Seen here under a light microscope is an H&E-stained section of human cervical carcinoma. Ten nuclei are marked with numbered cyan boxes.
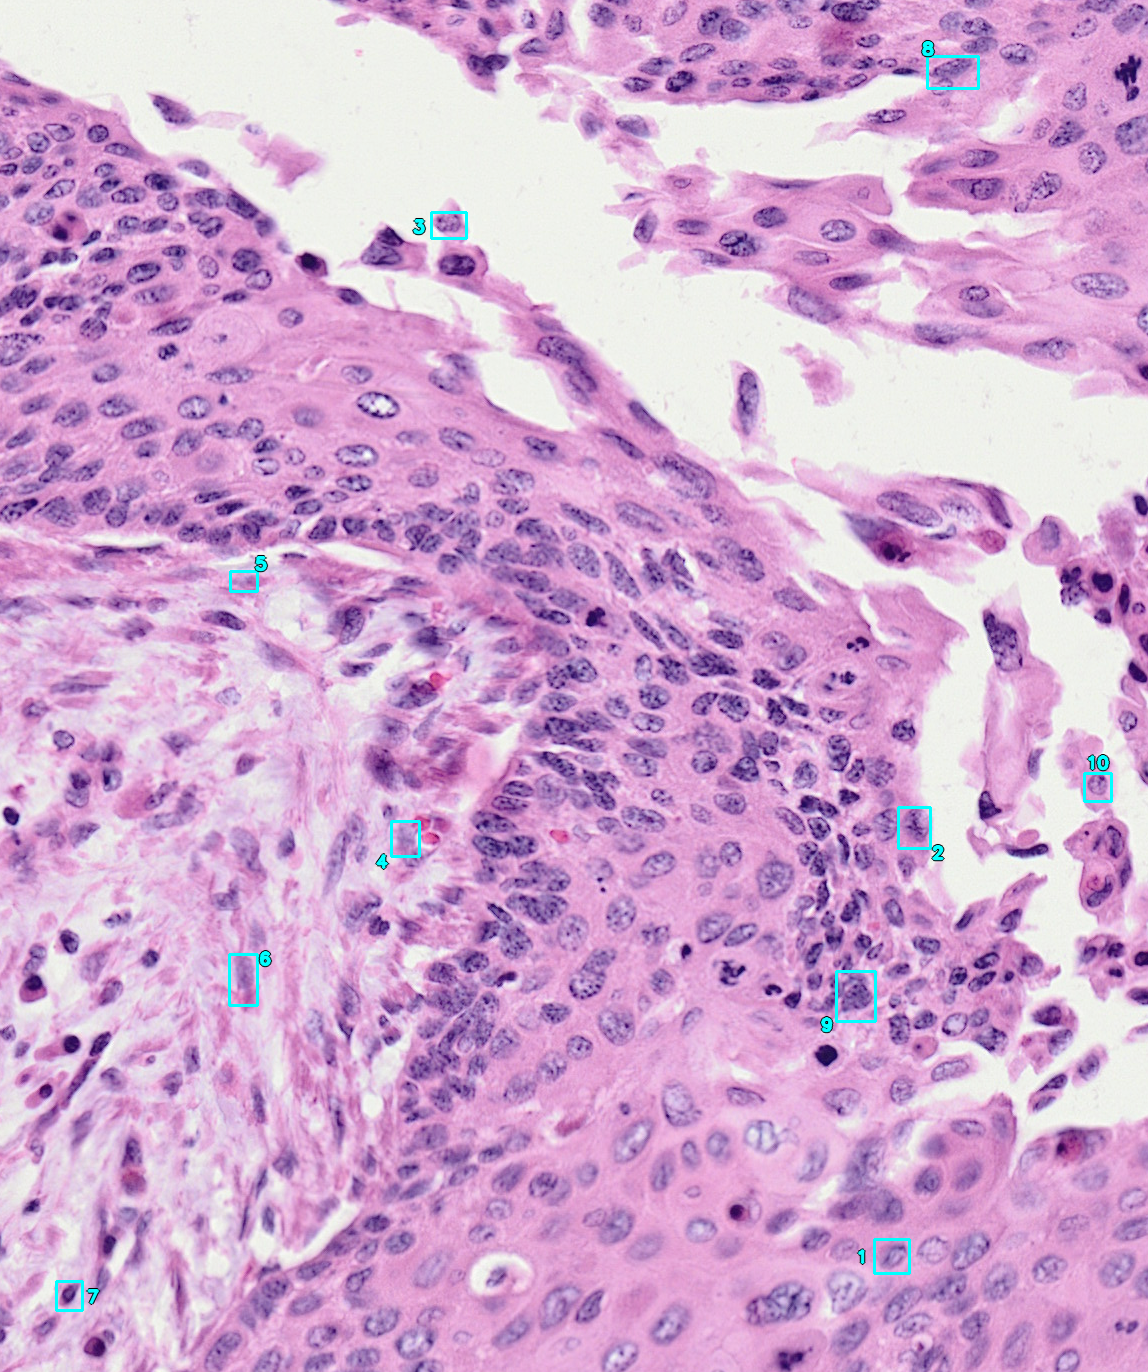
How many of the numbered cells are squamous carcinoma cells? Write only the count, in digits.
6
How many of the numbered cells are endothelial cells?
1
